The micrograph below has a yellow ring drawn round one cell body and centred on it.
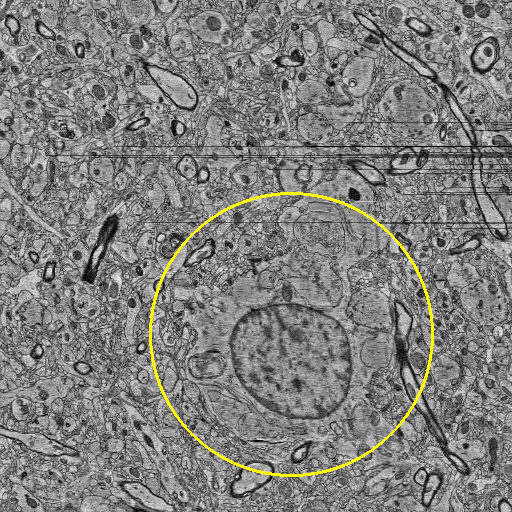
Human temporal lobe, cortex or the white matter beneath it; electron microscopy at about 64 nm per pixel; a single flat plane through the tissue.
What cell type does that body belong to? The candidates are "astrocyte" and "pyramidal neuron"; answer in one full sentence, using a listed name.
This is an astrocyte, the cell whose body lies at the centre of the ring.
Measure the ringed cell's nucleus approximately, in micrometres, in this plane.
In this plane, about 8 micrometres in length and 7 in width.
